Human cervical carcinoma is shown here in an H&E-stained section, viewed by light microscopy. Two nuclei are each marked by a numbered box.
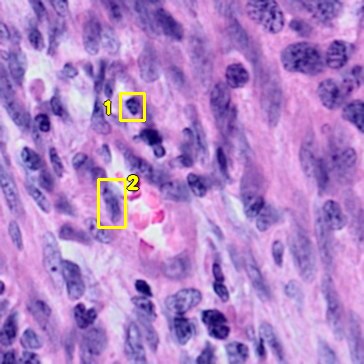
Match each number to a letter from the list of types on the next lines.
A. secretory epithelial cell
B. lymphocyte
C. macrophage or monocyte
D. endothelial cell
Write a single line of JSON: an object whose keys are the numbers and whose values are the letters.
{"1": "B", "2": "D"}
